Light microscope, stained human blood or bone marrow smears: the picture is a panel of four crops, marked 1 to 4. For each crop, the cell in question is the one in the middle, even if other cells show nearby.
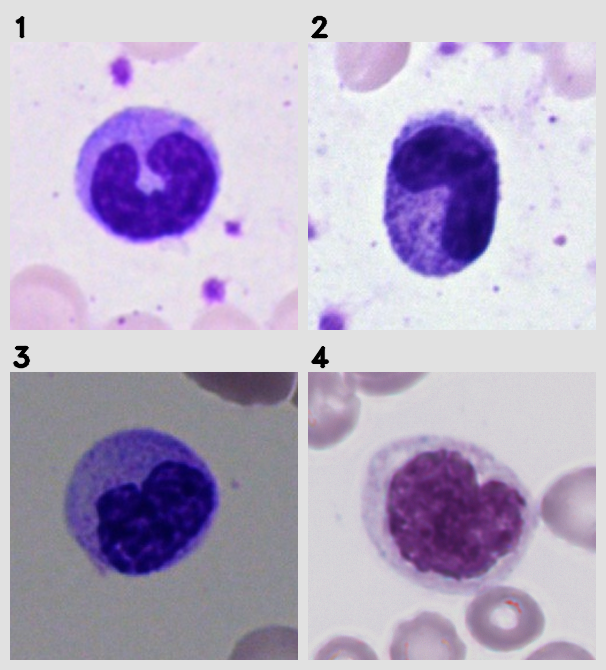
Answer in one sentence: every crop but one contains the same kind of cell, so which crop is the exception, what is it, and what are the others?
All crops show band neutrophils except crop 4, which is a metamyelocyte.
